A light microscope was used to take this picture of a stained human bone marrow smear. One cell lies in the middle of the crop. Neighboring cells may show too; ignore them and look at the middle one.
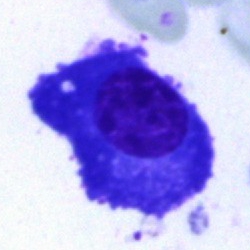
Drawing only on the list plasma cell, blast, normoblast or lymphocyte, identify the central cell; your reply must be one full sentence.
On this slide crop, the central cell is a plasma cell.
